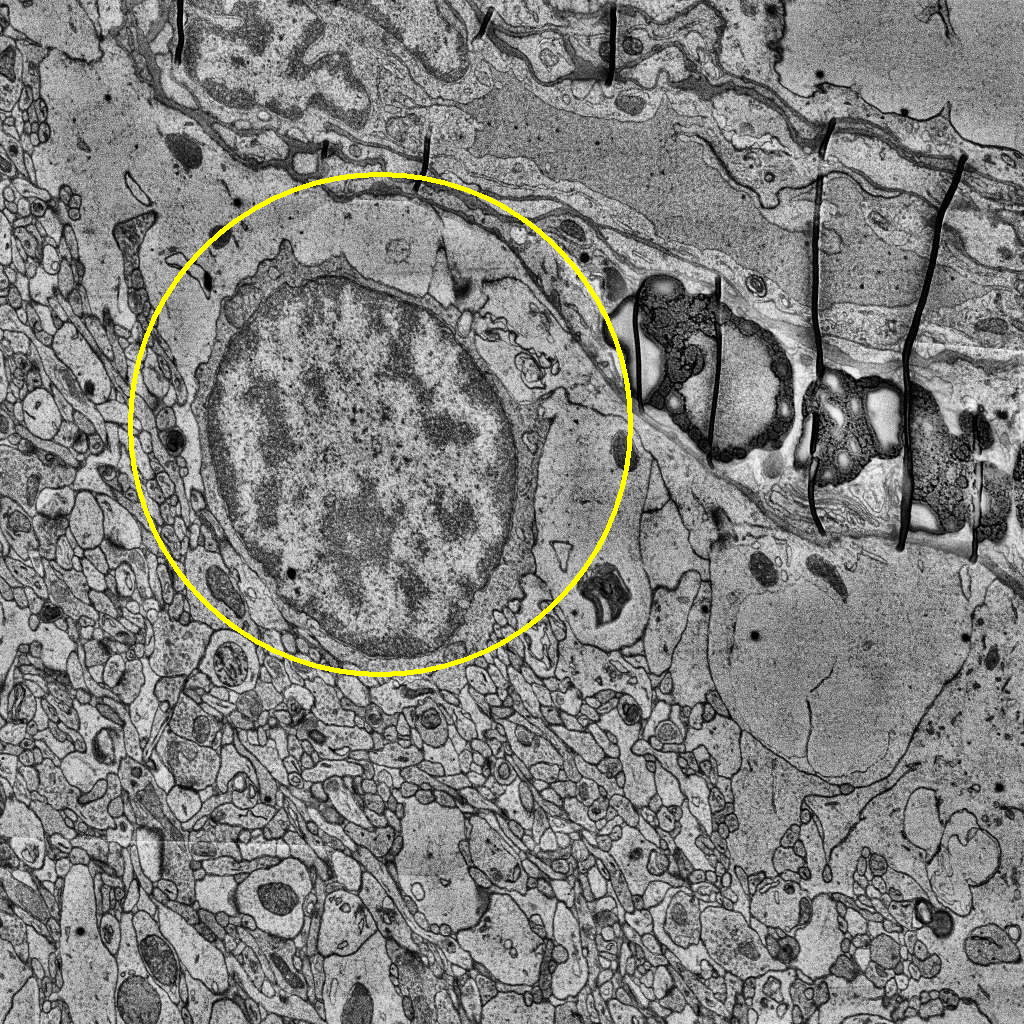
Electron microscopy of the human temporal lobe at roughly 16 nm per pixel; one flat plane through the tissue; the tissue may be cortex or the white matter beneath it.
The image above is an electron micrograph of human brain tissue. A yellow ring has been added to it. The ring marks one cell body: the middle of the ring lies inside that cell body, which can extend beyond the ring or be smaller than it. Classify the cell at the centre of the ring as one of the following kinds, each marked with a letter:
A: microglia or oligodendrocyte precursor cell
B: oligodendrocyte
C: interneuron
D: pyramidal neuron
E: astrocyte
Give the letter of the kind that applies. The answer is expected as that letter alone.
B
